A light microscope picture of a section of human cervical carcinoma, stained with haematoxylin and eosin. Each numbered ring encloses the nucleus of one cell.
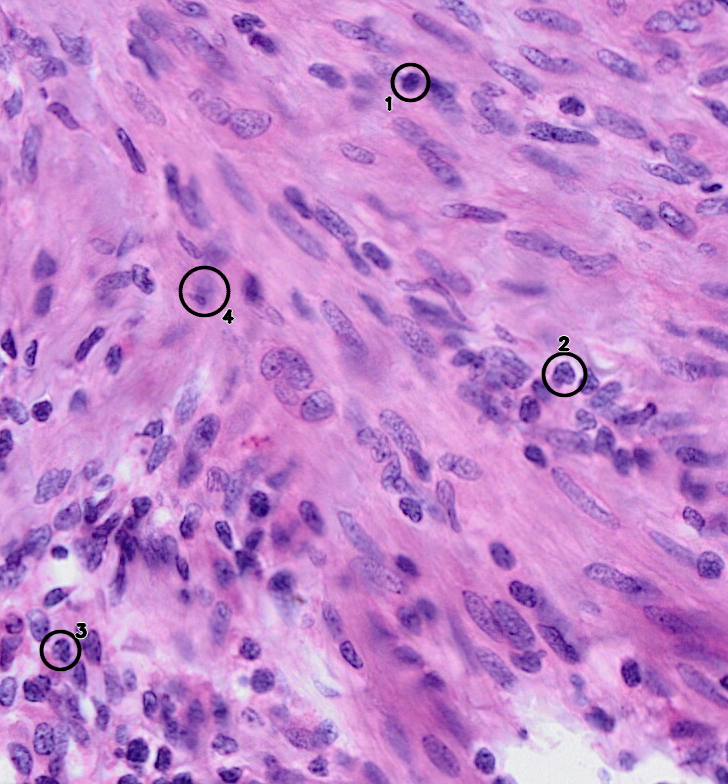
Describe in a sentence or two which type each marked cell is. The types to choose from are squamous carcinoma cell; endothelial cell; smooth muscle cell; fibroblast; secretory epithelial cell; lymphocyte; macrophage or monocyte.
Cell 1 is a lymphocyte, cell 2 is a lymphocyte, cell 3 is a lymphocyte and cell 4 is a fibroblast.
